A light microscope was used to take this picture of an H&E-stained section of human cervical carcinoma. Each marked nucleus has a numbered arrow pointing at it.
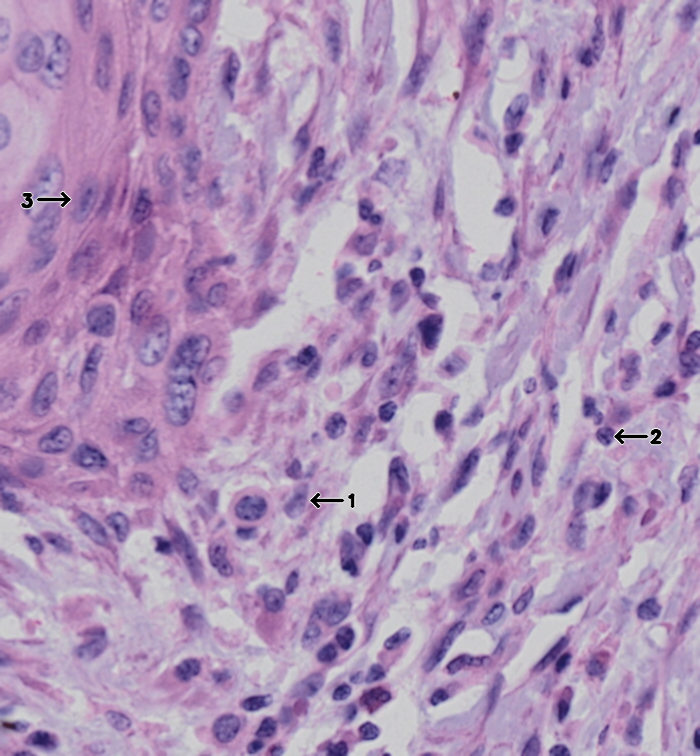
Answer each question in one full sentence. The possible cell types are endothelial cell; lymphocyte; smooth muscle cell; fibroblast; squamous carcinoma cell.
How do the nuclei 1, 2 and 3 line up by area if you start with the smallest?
Smallest first, the nuclei run 2, 1, 3.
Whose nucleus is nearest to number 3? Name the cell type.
The nucleus nearest to number 3 is that of a squamous carcinoma cell.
